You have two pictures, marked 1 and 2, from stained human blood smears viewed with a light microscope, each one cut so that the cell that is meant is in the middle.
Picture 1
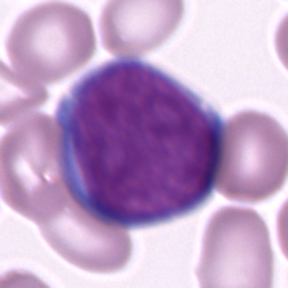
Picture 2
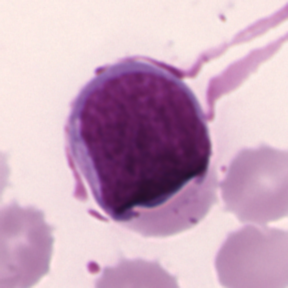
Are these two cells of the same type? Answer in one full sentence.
Yes, both are myeloblasts.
